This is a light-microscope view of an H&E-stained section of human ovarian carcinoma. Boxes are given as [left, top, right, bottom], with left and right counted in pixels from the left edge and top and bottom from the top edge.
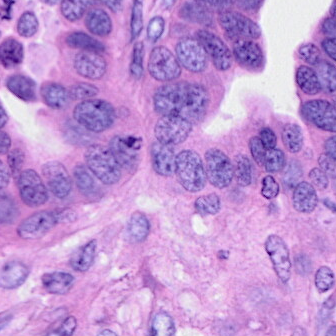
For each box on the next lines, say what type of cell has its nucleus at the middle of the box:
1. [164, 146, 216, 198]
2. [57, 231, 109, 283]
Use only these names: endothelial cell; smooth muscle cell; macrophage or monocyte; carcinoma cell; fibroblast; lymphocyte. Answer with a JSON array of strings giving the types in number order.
["carcinoma cell", "fibroblast"]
